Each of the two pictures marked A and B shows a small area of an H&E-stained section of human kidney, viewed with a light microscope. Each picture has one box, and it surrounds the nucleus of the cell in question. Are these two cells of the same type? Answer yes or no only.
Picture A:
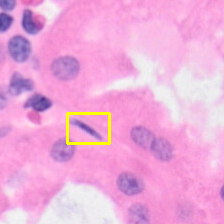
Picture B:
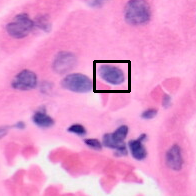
yes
